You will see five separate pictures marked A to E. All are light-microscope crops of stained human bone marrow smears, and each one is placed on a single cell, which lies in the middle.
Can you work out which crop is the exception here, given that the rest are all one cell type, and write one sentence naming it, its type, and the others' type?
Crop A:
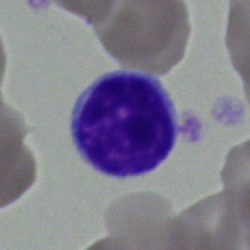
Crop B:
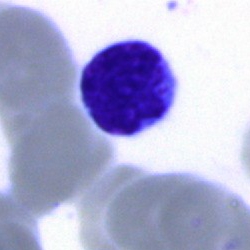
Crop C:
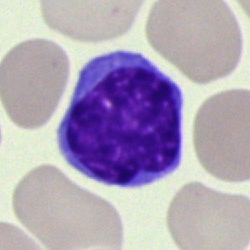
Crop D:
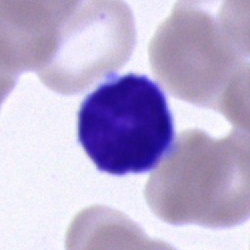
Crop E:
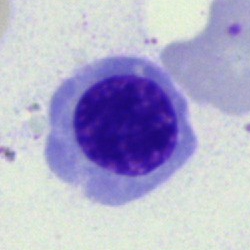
With the other crops all showing lymphocytes, crop E differs by showing an erythroblast.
